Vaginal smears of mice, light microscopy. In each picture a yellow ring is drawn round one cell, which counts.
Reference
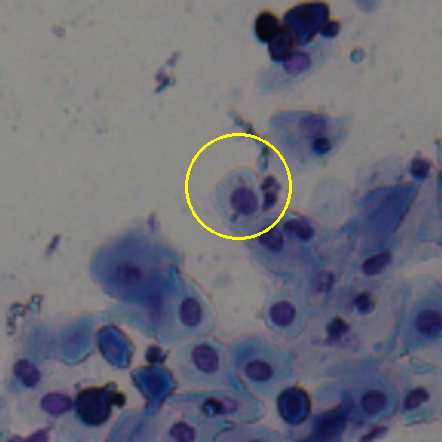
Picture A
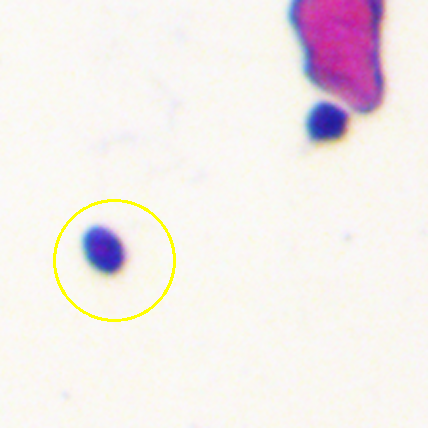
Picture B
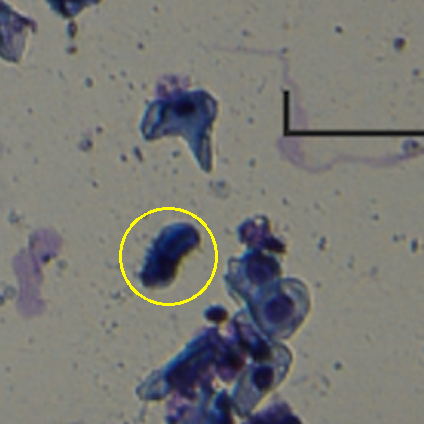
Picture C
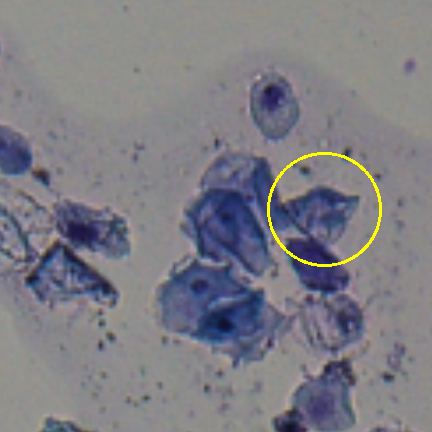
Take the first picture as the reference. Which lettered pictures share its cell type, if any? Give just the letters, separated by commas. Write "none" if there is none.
none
